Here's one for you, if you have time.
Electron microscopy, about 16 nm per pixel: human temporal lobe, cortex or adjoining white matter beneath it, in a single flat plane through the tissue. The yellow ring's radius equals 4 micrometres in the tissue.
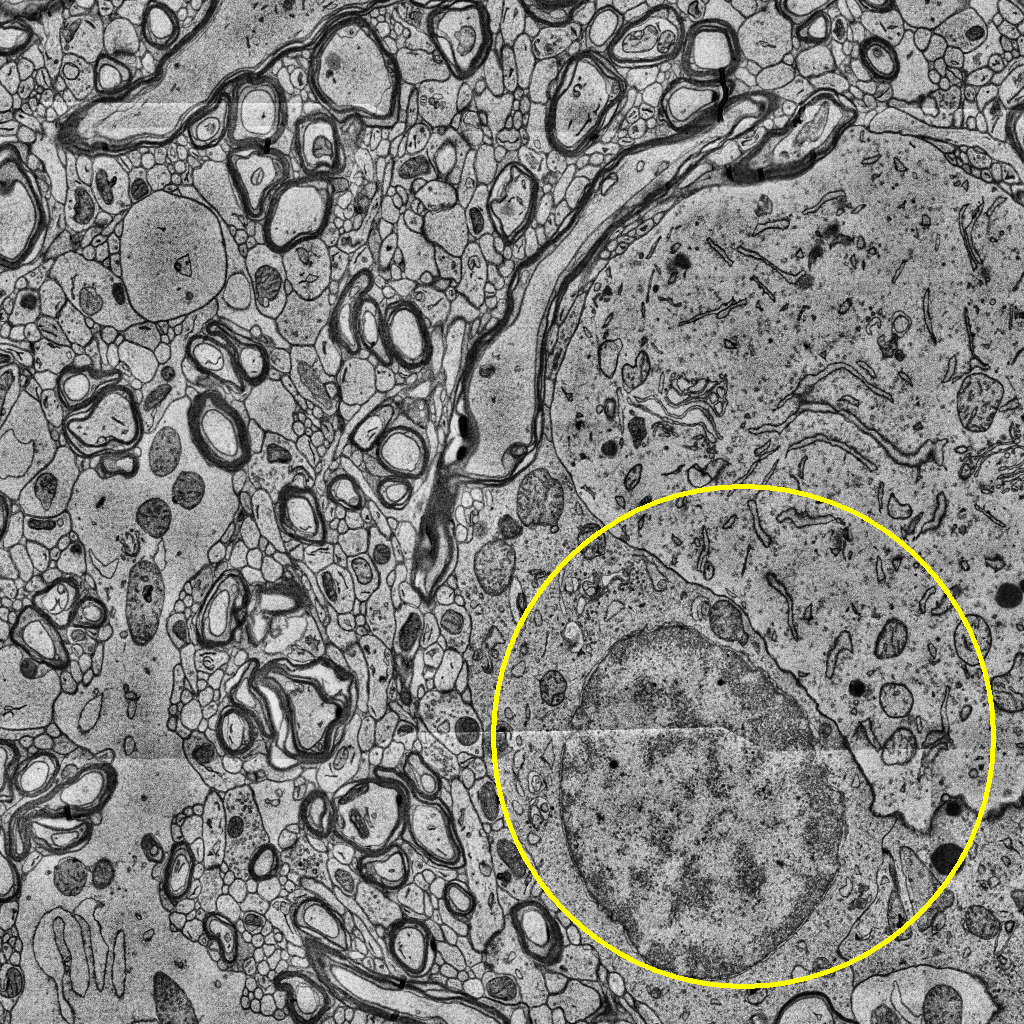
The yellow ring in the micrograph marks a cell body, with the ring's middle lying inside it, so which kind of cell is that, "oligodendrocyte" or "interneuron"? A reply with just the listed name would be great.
oligodendrocyte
